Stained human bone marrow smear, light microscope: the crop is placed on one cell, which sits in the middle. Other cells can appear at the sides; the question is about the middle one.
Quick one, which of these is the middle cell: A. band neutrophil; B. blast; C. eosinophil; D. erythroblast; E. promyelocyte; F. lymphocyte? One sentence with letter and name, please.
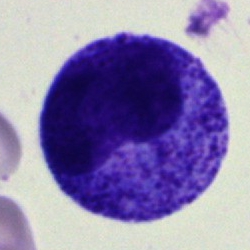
The middle of the crop holds a promyelocyte, which points to option E.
